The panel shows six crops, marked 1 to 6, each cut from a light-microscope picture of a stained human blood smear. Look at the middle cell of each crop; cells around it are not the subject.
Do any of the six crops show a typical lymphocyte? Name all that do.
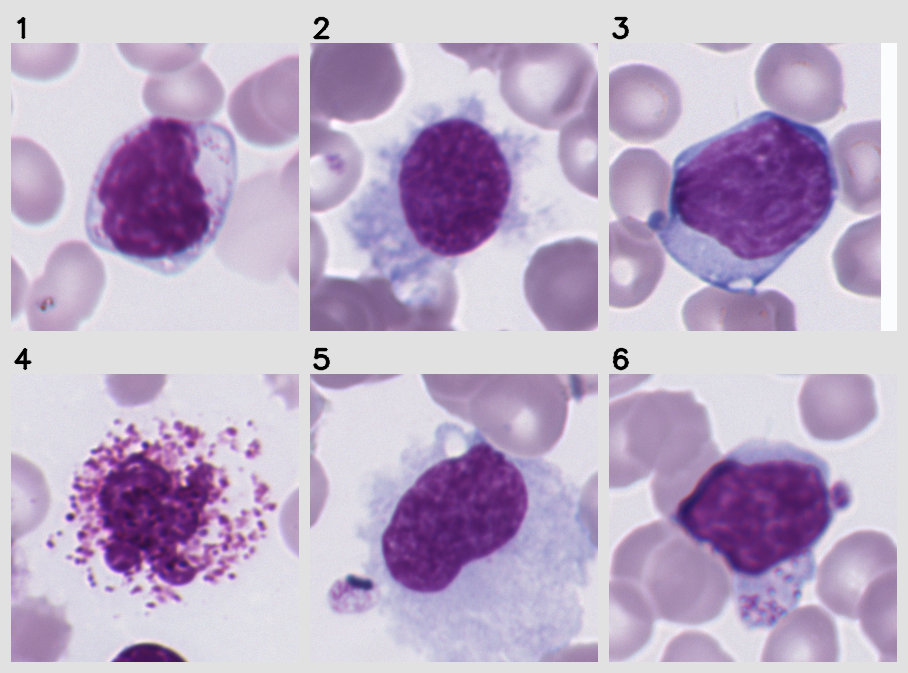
none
